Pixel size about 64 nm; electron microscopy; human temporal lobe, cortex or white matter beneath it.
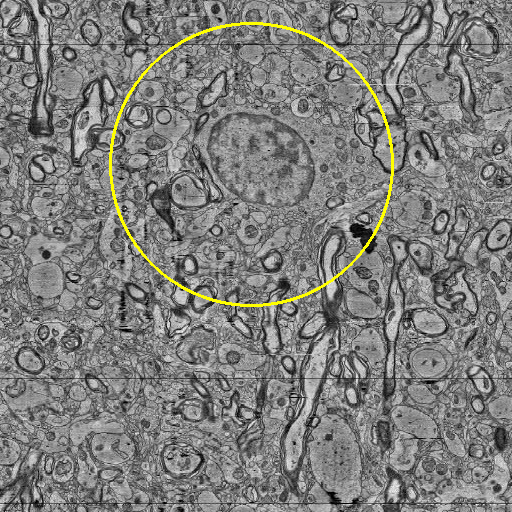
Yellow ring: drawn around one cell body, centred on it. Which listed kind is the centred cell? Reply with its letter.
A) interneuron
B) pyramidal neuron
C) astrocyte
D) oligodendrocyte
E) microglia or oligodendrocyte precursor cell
D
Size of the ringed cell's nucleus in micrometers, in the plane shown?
The nucleus appears roughly 7 by 6 micrometres in this plane.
